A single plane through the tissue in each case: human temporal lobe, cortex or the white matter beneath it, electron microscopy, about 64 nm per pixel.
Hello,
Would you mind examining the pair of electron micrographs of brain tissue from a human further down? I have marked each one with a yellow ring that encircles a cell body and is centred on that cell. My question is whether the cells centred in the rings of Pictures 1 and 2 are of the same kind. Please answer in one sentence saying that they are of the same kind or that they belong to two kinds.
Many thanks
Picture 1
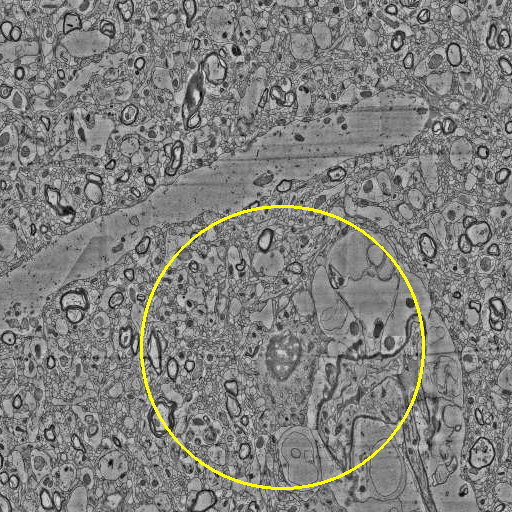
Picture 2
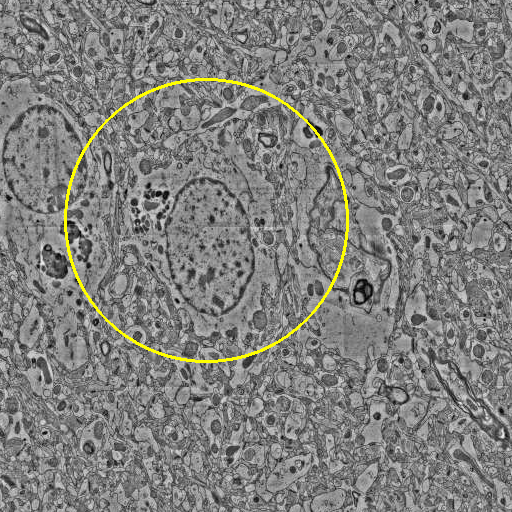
In Pictures 1 and 2, the cells at the heart of the rings belong to two kinds.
